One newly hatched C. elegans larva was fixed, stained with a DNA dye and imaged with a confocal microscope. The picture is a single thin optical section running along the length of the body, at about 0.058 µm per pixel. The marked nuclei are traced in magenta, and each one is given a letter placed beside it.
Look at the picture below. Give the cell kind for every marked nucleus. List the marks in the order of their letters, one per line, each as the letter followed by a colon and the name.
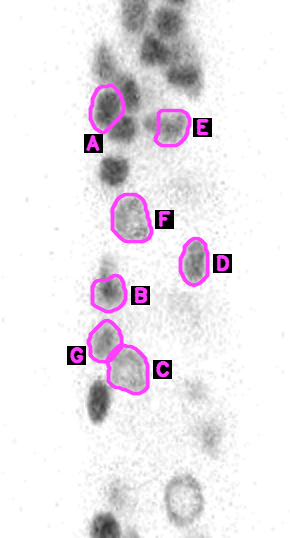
A: neuron
B: neuron
C: intestinal cell
D: body wall muscle cell
E: valve cell of the gut
F: intestinal cell
G: neuron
